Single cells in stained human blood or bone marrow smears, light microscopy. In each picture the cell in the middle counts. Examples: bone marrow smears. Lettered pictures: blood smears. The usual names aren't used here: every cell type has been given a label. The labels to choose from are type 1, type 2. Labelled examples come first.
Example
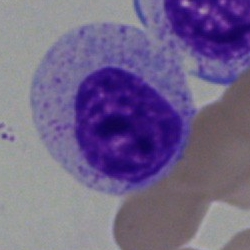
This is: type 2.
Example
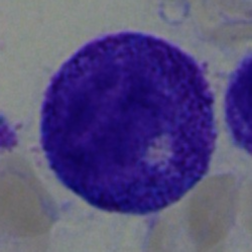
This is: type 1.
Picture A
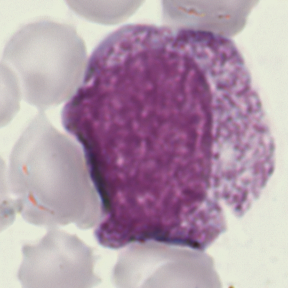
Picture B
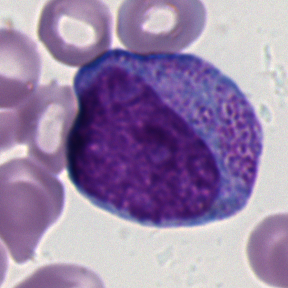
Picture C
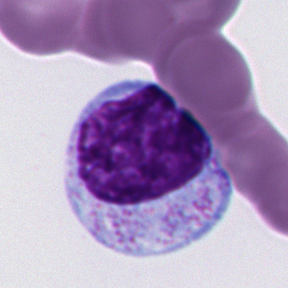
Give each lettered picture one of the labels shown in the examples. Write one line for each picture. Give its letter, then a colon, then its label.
A: type 1.
B: type 1.
C: type 2.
